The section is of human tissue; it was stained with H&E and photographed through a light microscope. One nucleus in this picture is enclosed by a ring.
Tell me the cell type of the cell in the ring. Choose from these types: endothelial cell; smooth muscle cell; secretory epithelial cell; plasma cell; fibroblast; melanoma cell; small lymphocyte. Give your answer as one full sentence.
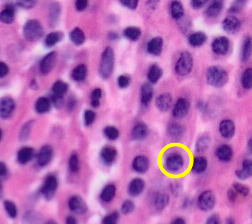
In this field of tissue, the cell in the ring is a plasma cell.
